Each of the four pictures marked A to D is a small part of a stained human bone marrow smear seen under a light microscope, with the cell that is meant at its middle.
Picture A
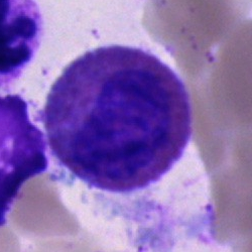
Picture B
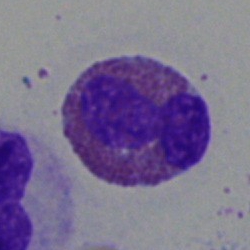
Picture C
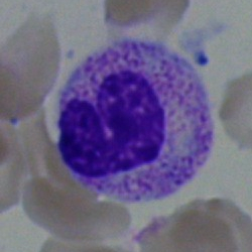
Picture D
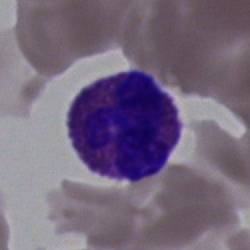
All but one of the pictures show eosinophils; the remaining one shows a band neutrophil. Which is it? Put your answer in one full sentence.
Picture C is the one that shows the band neutrophil.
